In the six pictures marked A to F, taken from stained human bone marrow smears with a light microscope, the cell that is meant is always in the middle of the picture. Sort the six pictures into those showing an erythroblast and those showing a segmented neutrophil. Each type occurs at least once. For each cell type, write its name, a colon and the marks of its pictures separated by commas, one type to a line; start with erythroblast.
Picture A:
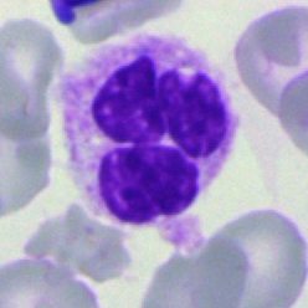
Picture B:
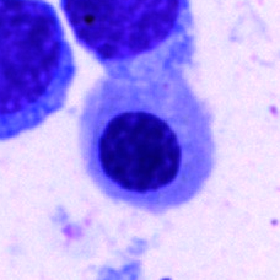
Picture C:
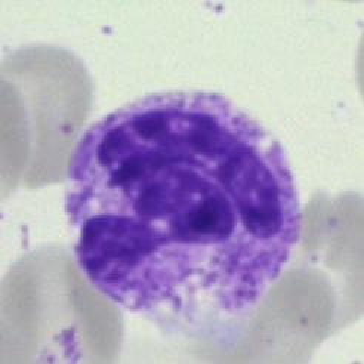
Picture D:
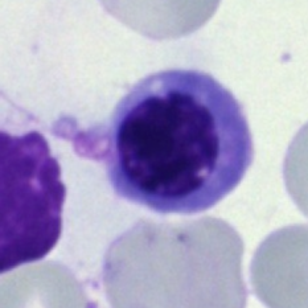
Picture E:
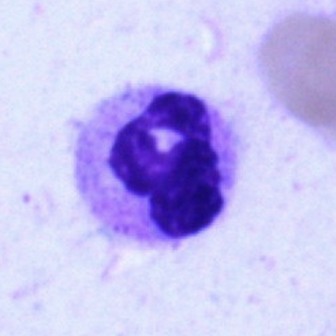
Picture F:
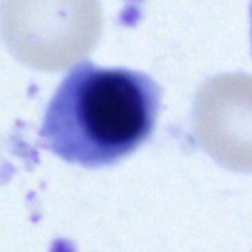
erythroblast: B, D, F
segmented neutrophil: A, C, E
